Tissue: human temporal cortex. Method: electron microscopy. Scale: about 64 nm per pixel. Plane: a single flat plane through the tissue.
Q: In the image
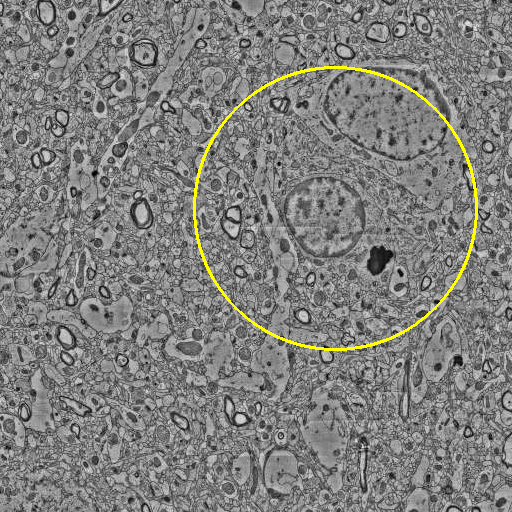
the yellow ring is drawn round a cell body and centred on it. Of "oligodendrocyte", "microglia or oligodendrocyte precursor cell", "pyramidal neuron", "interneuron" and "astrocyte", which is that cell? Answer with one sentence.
The cell centred in the ring is an oligodendrocyte.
